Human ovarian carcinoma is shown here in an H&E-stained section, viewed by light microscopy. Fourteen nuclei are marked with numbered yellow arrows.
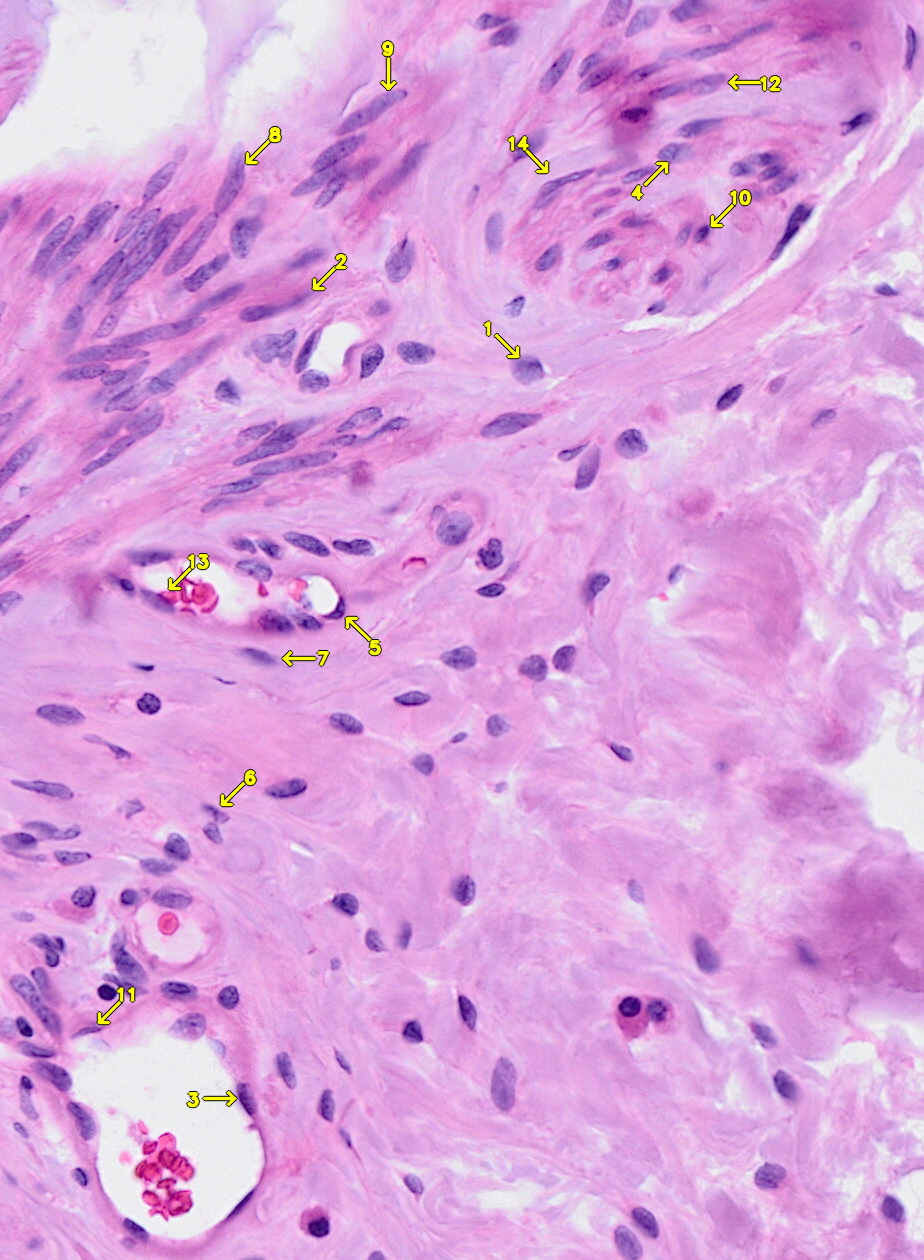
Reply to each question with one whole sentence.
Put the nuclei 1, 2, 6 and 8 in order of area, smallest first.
From smallest to largest, the order is 6, 2, 1, 8.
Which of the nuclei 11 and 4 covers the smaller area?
Number 11 is smaller, since number 4 takes up about 2 times as much area.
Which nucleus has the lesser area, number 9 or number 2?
With nucleus 9 about 2 times its size, nucleus 2 is the smaller of the two.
